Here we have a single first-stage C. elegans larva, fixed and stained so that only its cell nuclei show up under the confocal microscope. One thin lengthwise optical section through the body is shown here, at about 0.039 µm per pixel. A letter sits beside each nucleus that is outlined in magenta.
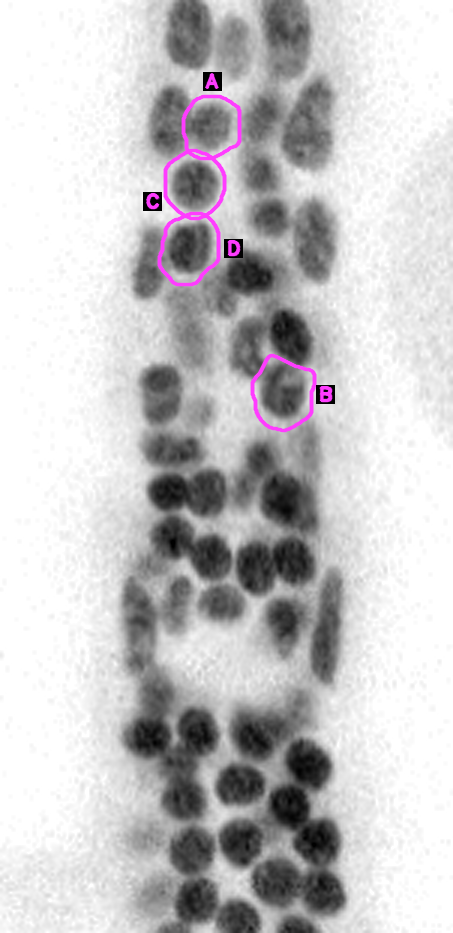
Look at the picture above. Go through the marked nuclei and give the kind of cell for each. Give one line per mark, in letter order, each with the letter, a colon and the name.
A: hypodermal cell (hyp)
B: neuron
C: glial cell (sheath or socket)
D: hypodermal cell (hyp)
